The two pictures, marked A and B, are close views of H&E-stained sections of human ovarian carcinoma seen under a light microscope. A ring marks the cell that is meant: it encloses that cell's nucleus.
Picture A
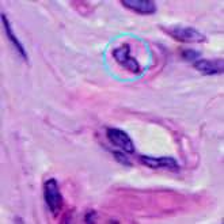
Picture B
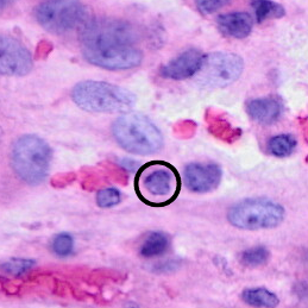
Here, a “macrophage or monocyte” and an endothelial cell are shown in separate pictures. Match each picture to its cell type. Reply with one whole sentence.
The cell in picture A is an endothelial cell, and the one in picture B is a “macrophage or monocyte”.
